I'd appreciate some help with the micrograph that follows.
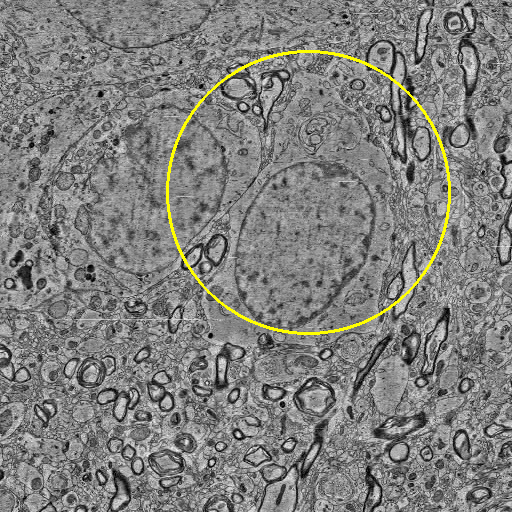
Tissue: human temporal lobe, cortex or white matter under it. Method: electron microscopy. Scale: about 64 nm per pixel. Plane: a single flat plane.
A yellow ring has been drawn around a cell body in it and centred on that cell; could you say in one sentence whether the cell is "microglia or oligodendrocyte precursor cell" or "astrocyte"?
It is an astrocyte at the centre of the ring.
